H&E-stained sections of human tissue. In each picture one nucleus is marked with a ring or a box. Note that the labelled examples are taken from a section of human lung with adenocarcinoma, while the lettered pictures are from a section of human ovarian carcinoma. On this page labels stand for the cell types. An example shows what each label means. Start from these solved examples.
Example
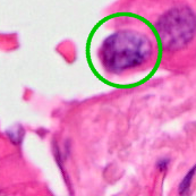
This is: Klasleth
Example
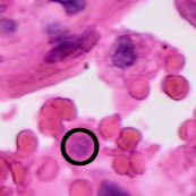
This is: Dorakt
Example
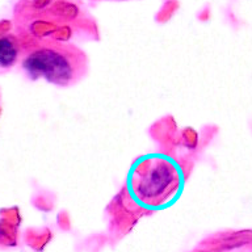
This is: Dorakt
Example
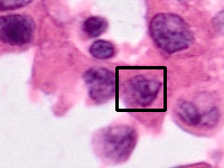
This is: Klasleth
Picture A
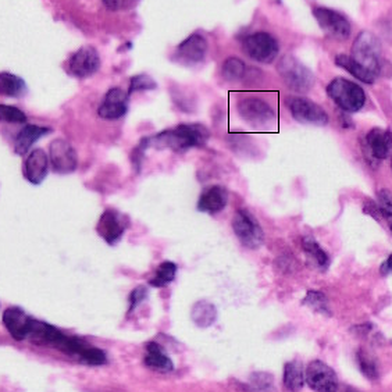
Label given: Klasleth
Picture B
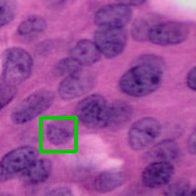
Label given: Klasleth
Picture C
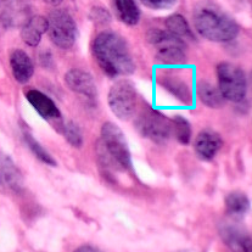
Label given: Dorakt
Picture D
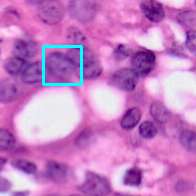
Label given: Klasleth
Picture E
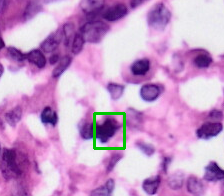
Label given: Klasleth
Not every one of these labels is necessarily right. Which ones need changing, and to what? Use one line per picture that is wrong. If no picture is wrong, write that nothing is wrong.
C should be Klasleth, not Dorakt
